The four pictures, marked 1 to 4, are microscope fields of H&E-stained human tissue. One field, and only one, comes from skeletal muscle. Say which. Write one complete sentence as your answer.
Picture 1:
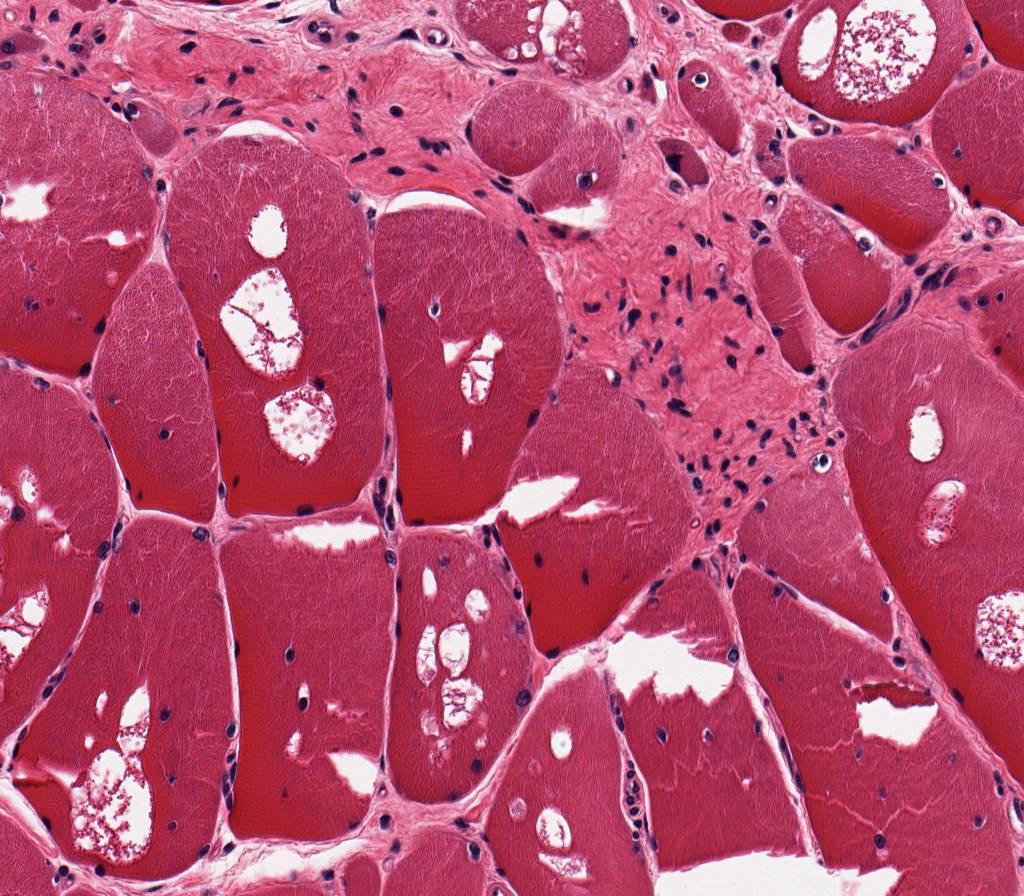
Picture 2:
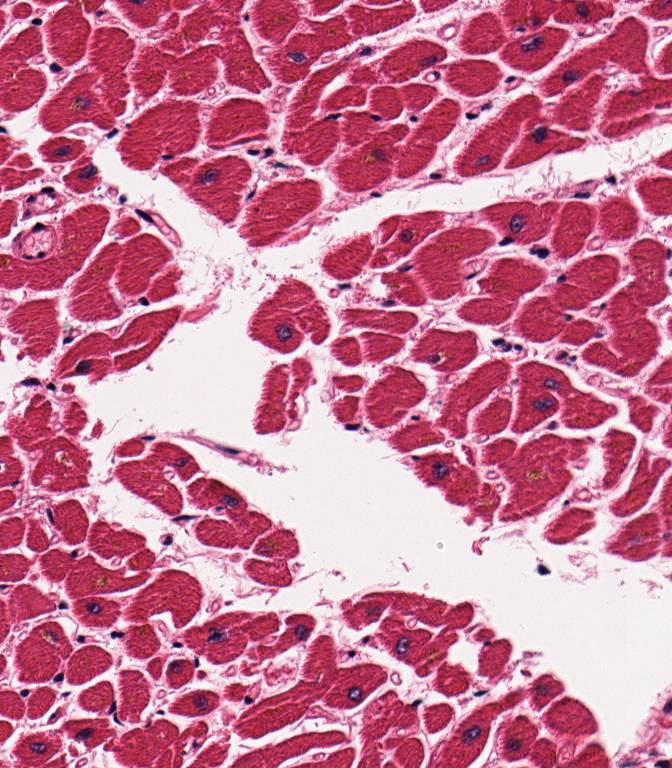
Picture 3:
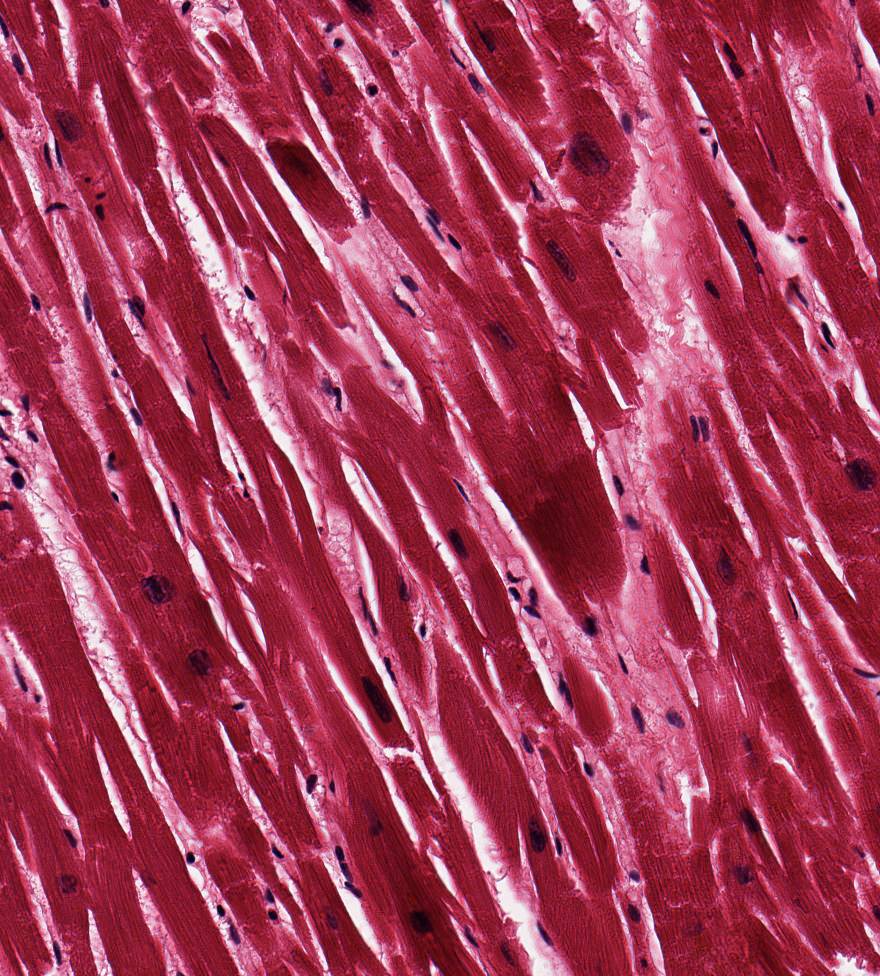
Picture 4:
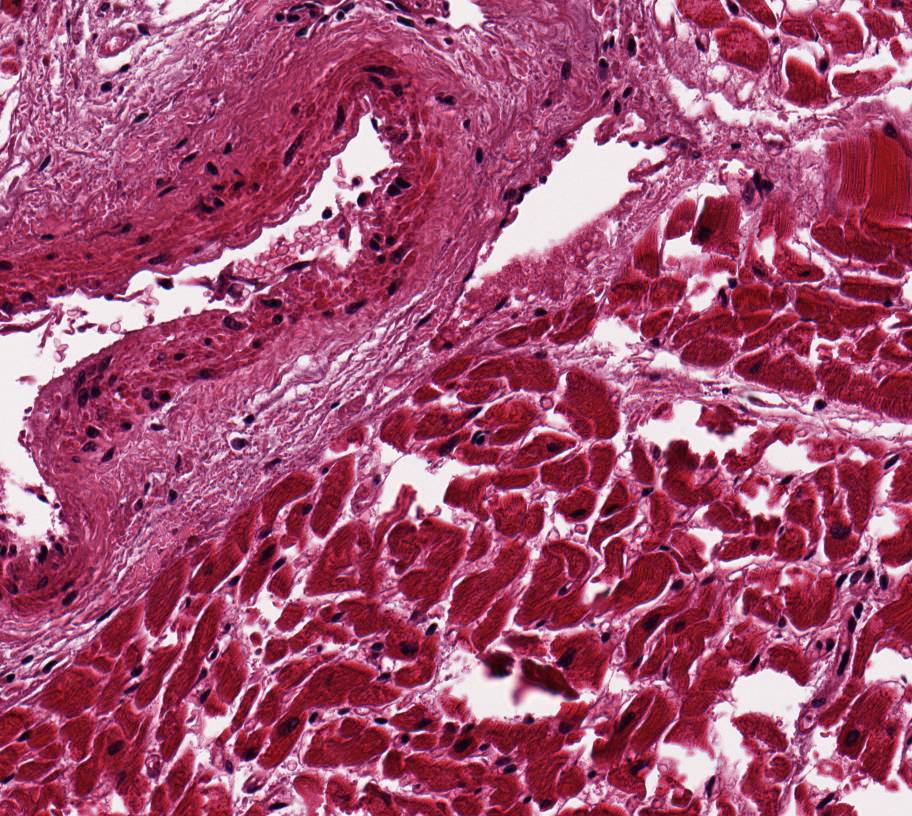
It is picture 1 that comes from skeletal muscle.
